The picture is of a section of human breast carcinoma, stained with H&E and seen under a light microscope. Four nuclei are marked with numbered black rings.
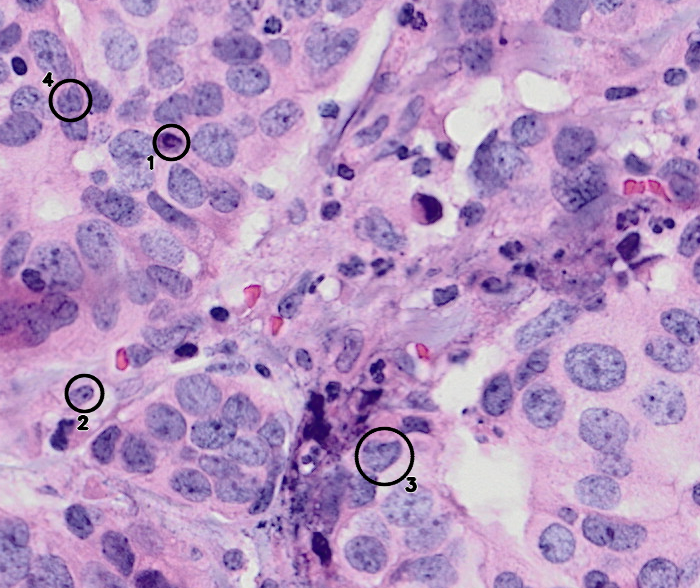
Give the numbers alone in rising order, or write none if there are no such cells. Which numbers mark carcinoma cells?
1, 3, 4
